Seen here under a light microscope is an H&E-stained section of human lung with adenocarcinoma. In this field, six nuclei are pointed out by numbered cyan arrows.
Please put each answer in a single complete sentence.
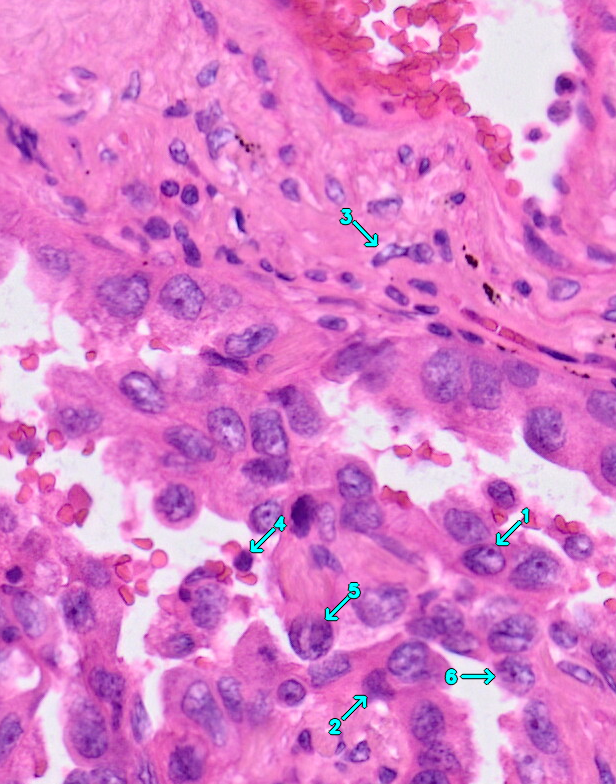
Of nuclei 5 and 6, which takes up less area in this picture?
Number 6 is smaller, since number 5 takes up about 2 times as much area.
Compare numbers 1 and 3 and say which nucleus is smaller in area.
It is nucleus 3; nucleus 1 has about 2.5 times its area.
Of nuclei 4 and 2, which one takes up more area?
Of the two, number 2 is bigger and takes up about 2.5 times the area of number 4.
